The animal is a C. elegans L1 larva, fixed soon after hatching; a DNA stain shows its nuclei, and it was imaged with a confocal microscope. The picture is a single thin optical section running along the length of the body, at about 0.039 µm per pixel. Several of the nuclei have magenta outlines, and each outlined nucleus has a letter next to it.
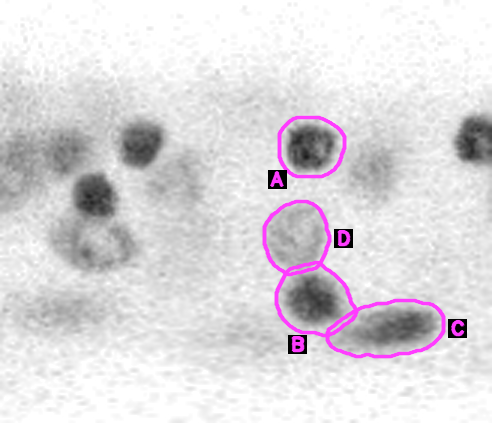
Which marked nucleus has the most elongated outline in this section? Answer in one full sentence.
The most elongated nucleus is C.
